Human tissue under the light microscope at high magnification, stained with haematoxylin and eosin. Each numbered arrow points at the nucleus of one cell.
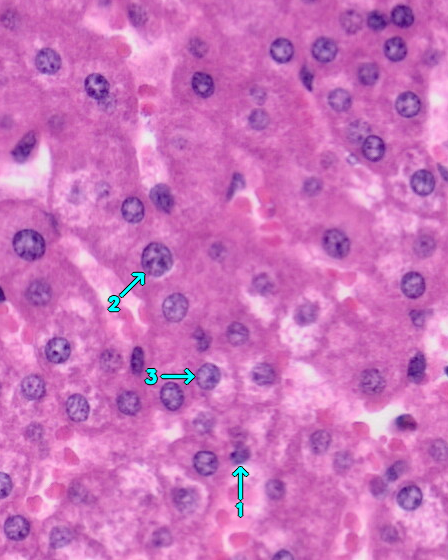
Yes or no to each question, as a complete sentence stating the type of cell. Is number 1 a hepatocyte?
No, instead of a hepatocyte, the cell with number 1 is a fibroblast or stellate cell.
